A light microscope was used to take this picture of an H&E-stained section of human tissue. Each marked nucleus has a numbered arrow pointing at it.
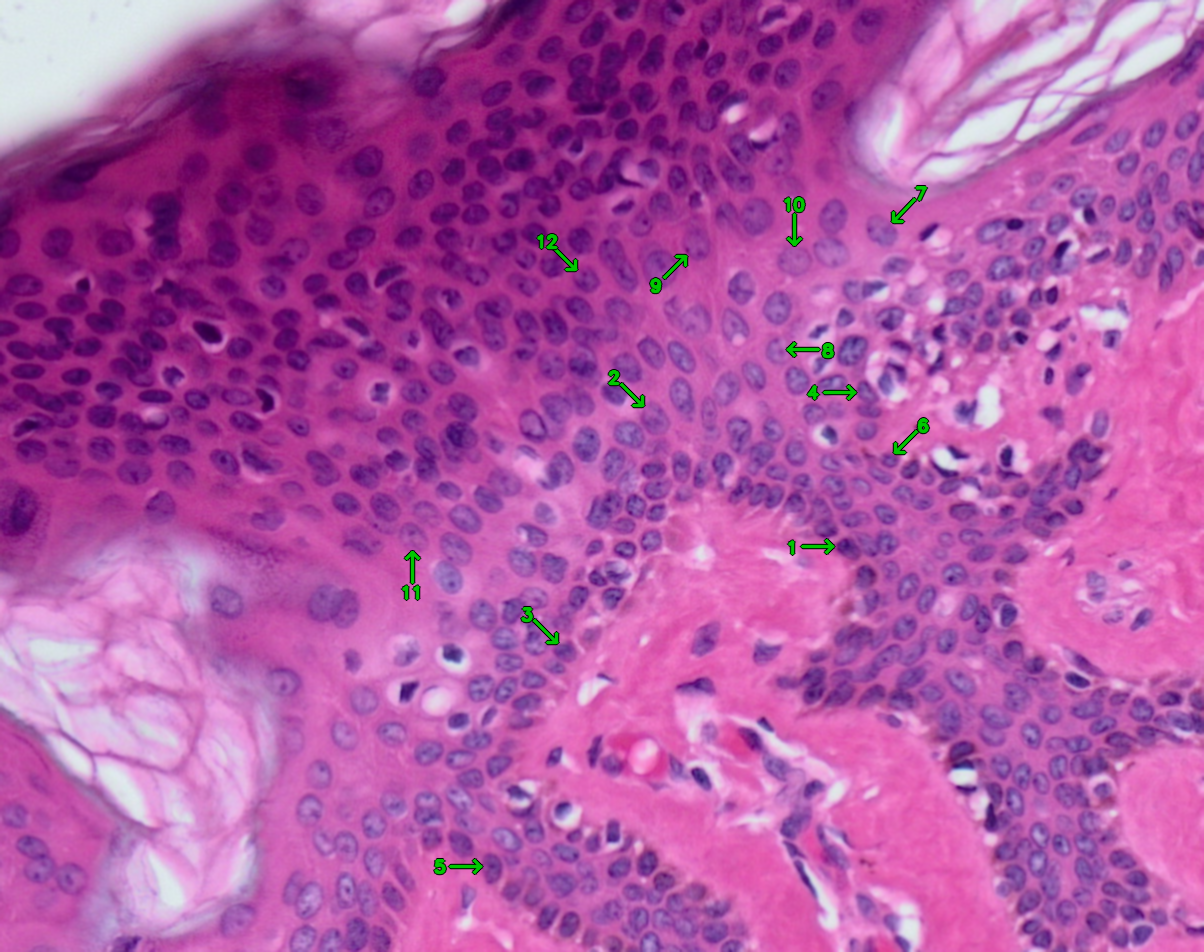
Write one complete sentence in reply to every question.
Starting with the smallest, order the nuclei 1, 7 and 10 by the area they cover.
From smallest to largest, the order is 1, 7, 10.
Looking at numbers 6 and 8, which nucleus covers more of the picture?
Number 8 is larger; its area is about 2 times that of number 6.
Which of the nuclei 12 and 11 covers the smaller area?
It is nucleus 12; nucleus 11 has about 1.5 times its area.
